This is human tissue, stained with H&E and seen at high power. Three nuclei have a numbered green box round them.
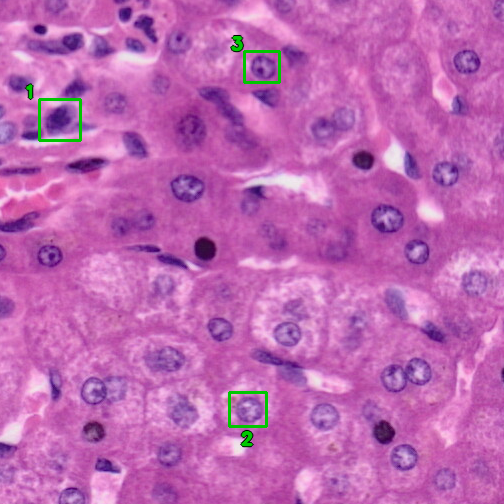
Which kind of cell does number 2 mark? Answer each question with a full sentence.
Cell 2, among those numbered, is a hepatocyte.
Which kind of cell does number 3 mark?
The marked nucleus 3 is that of a hepatocyte.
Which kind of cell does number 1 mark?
That cell with number 1 is a fibroblast or stellate cell.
